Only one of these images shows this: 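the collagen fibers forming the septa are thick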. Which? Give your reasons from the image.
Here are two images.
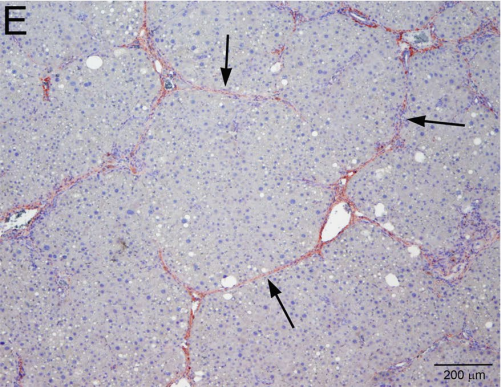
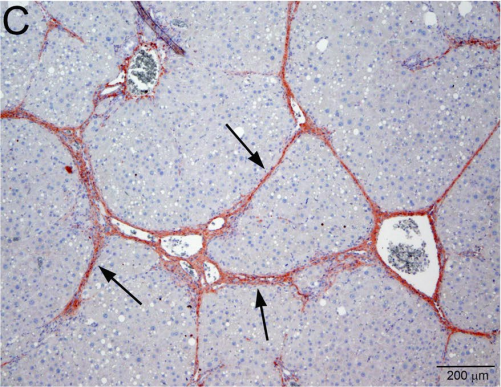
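First image: thin, pale red strands, some not forming complete rings. Second image: broad, intensely red-brown bands enclosing nodules. So: the second image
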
